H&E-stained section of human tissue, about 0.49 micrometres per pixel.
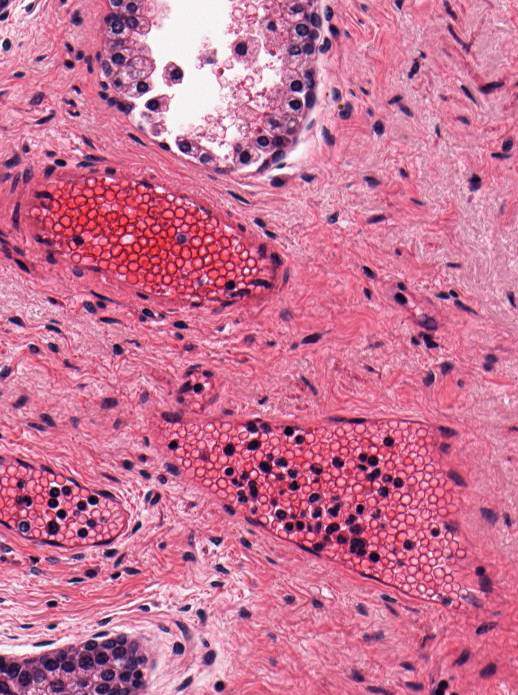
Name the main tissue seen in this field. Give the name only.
fibromuscular stroma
